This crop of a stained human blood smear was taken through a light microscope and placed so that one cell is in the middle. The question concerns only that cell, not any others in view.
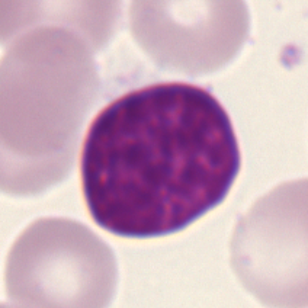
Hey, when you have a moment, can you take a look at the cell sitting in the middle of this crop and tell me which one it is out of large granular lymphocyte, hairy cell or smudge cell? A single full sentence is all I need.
The cell around which this crop is centred is a smudge cell.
